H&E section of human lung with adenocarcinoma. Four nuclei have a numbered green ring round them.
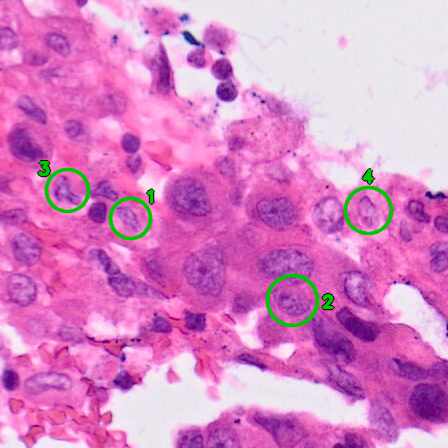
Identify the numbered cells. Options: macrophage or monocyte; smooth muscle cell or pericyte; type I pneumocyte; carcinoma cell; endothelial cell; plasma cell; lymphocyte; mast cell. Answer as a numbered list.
1. macrophage or monocyte
2. carcinoma cell
3. macrophage or monocyte
4. macrophage or monocyte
